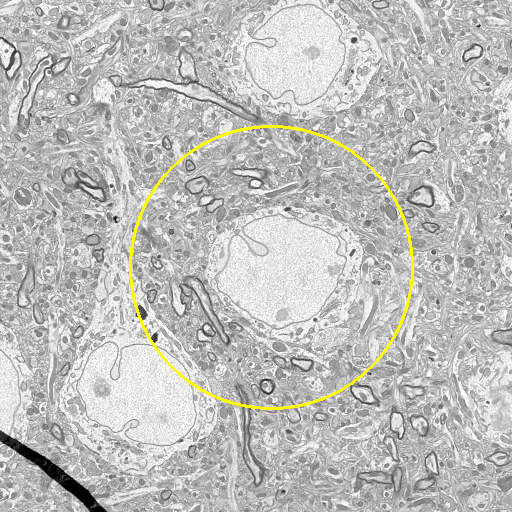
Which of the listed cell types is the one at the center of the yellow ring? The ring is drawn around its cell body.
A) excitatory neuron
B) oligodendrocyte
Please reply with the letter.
A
